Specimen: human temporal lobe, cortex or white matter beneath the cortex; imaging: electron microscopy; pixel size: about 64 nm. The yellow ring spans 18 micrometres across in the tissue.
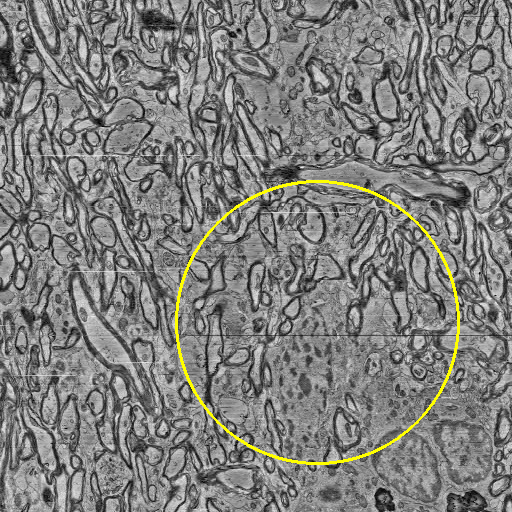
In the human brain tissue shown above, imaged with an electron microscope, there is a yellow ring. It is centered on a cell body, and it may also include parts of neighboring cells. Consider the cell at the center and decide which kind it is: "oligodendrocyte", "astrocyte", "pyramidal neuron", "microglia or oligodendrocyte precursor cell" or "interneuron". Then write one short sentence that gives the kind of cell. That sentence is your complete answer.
This centered cell body is that of an astrocyte.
